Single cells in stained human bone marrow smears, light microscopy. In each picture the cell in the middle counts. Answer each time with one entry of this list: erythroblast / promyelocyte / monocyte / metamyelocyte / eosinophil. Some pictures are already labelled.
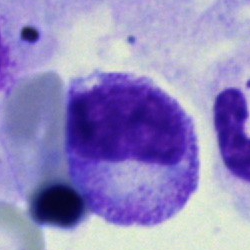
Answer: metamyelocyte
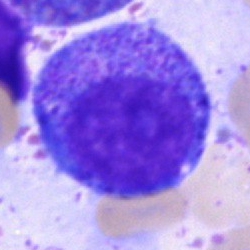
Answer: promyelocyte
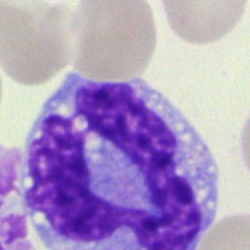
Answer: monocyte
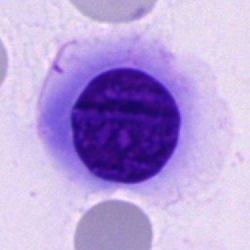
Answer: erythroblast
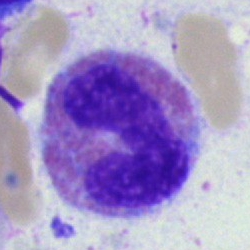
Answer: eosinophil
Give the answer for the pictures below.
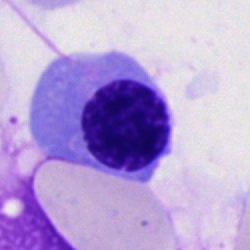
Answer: erythroblast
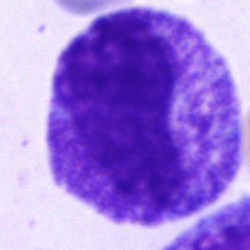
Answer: promyelocyte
